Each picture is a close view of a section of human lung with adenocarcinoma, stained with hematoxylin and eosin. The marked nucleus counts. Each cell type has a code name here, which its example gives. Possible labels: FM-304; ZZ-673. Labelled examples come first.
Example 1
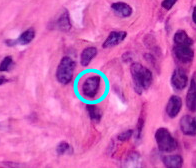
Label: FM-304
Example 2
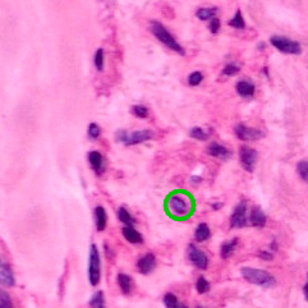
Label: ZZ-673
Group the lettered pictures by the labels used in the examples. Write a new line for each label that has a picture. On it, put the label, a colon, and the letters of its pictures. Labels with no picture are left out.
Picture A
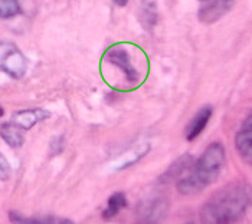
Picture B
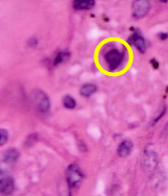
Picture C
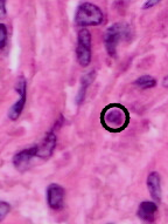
FM-304: A, B, C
